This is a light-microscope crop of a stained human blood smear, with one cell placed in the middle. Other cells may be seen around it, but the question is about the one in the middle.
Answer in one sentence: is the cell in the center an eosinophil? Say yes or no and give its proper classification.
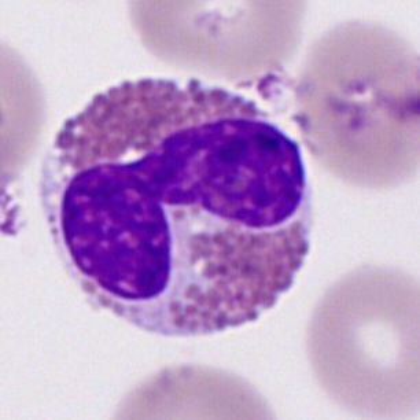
Yes, the cell in the centre is an eosinophil.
